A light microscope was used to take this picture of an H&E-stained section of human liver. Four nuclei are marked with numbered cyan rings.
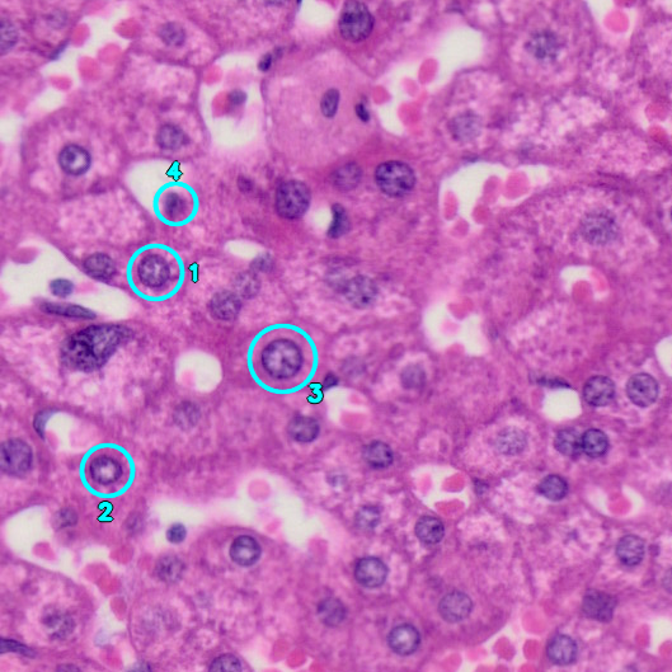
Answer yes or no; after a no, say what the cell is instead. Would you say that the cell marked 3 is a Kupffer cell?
No, it is a hepatocyte.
